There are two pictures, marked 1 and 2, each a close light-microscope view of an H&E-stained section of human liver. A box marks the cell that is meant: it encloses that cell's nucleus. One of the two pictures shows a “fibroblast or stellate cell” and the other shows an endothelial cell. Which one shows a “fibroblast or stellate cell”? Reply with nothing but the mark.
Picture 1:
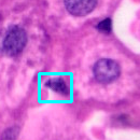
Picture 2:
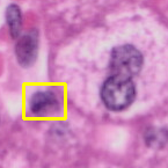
2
